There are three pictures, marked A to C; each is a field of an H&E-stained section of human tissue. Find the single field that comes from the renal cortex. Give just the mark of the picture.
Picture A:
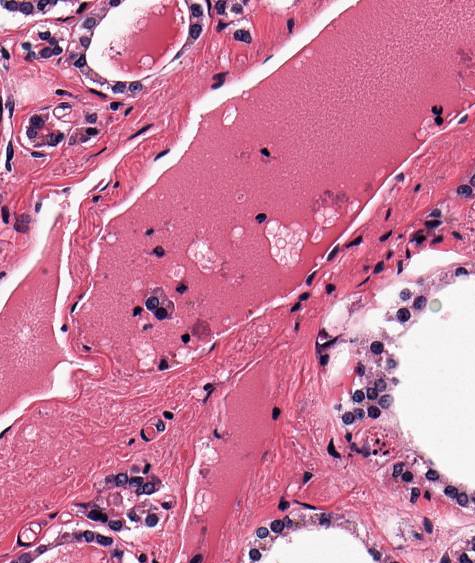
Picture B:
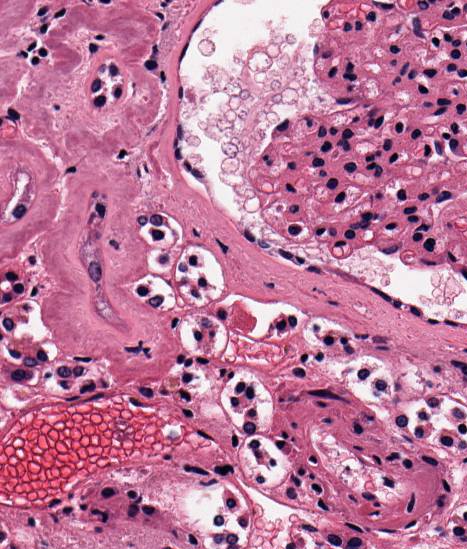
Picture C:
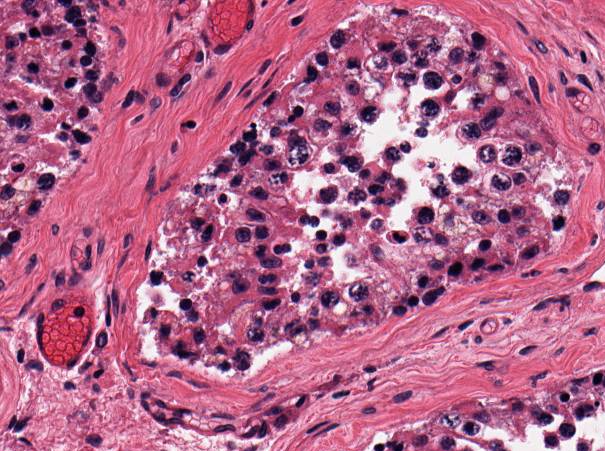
B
